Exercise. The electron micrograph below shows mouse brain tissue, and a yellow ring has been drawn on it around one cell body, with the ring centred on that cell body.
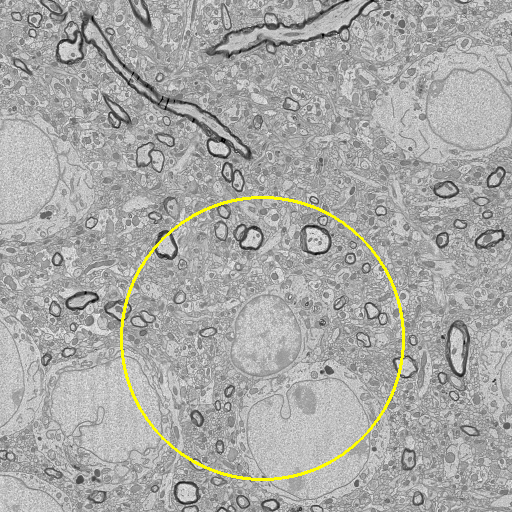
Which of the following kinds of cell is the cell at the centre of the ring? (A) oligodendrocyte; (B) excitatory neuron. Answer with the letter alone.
A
